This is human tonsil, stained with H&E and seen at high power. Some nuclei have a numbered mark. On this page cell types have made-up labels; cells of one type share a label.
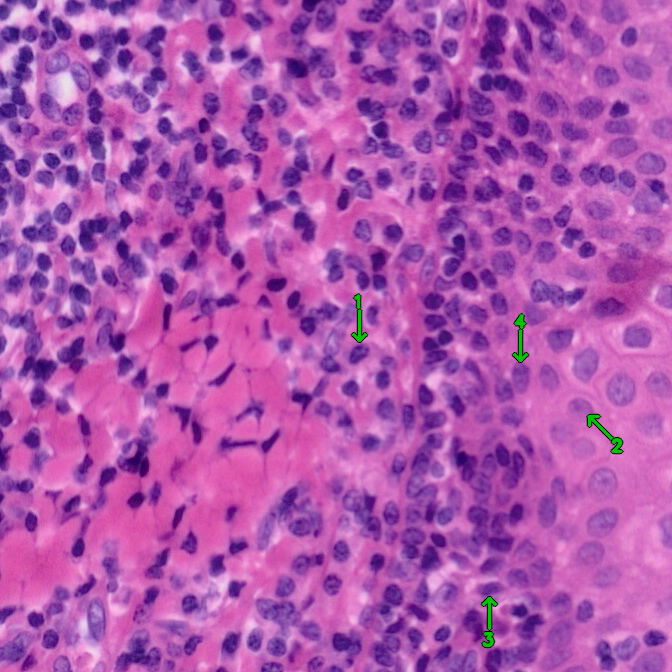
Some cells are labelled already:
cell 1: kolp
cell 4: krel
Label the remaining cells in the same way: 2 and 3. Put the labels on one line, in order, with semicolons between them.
krel; krel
